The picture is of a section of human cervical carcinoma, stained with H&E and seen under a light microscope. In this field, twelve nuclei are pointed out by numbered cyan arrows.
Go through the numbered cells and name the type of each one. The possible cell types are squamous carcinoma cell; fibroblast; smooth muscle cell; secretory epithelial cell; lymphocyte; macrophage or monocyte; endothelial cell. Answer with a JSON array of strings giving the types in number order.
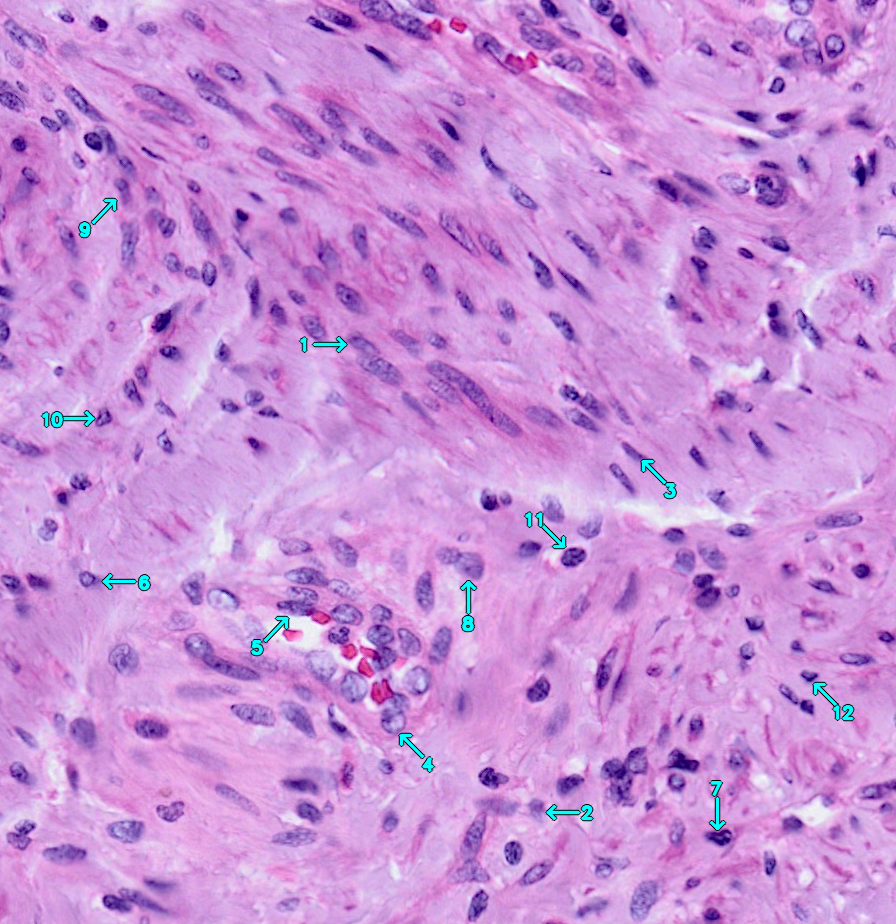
["smooth muscle cell", "fibroblast", "fibroblast", "endothelial cell", "endothelial cell", "fibroblast", "lymphocyte", "fibroblast", "smooth muscle cell", "smooth muscle cell", "lymphocyte", "fibroblast"]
